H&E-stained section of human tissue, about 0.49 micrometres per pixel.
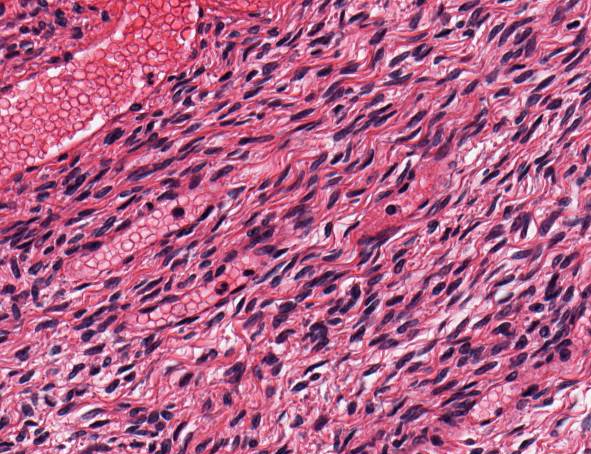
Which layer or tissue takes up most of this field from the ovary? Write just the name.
ovarian cortex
